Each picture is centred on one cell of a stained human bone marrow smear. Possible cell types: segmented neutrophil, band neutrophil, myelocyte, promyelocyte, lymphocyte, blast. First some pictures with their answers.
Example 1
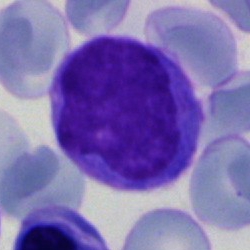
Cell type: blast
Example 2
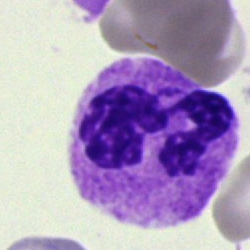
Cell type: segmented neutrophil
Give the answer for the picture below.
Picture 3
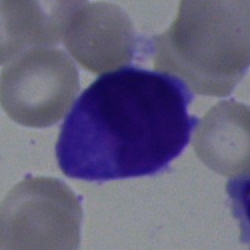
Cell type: blast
